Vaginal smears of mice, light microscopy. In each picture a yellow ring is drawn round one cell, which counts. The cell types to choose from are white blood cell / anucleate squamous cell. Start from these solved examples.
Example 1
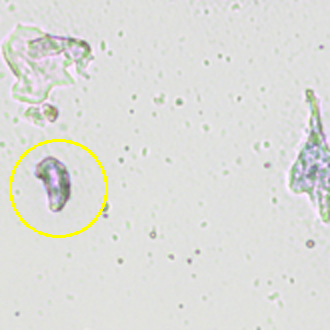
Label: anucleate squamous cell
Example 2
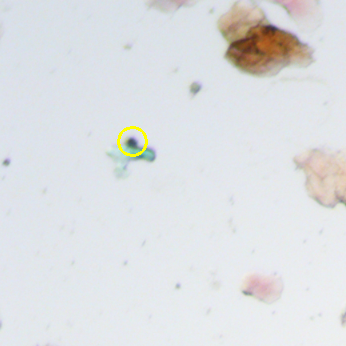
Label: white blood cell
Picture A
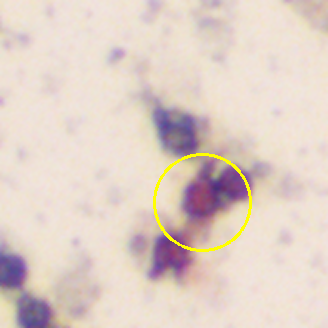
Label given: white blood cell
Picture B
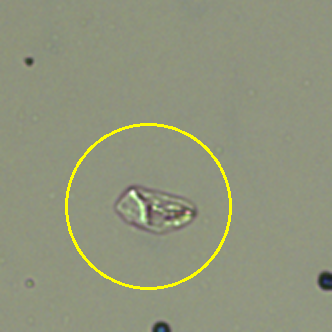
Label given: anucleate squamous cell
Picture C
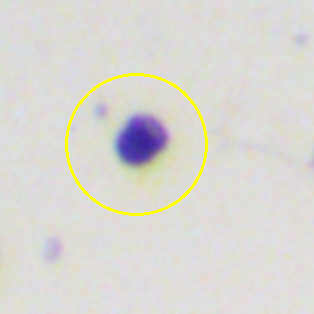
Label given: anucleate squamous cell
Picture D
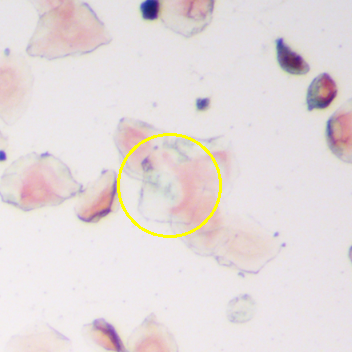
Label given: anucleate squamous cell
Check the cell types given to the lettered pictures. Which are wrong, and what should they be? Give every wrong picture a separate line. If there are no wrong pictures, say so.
C: white blood cell, not anucleate squamous cell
